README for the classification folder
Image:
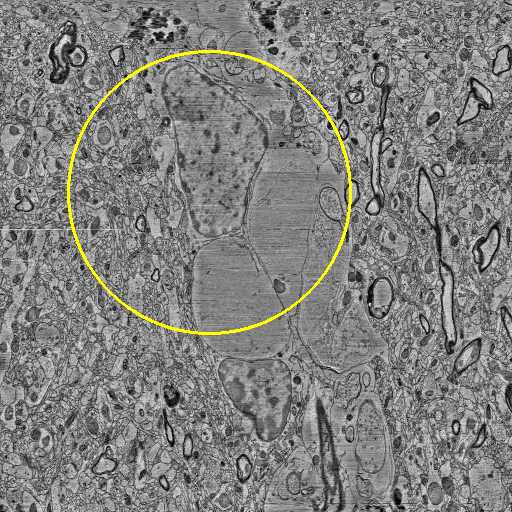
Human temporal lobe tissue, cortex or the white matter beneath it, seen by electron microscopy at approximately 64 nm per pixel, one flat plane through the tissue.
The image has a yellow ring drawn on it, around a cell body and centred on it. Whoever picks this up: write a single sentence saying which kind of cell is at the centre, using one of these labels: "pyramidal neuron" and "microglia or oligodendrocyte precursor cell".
This cell body is that of a microglial cell or oligodendrocyte precursor cell.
